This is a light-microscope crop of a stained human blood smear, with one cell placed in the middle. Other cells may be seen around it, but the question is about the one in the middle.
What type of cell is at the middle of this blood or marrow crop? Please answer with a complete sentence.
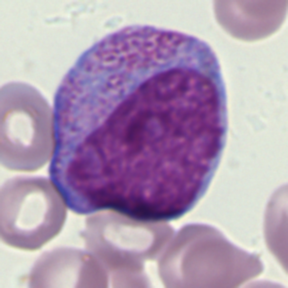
Within this crop, a promyelocyte occupies the central position.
